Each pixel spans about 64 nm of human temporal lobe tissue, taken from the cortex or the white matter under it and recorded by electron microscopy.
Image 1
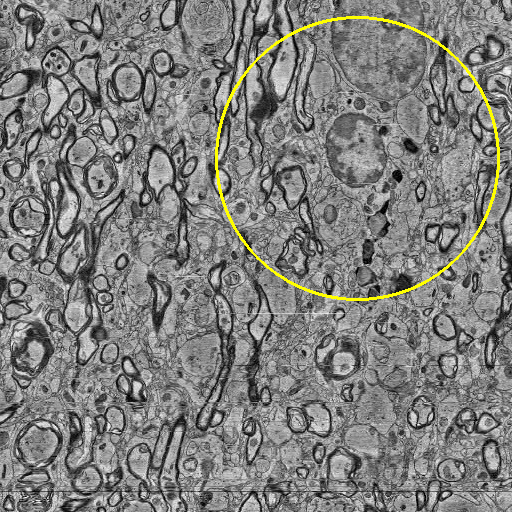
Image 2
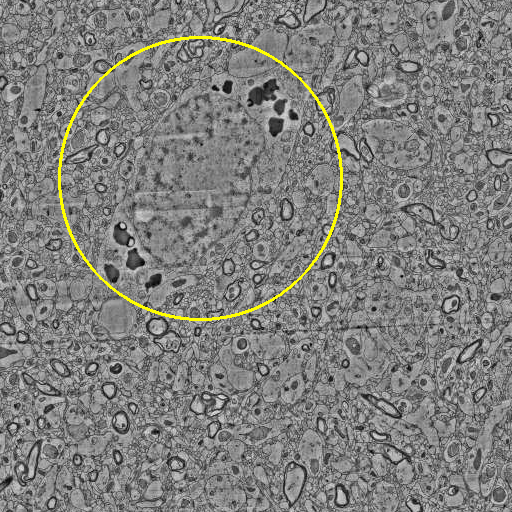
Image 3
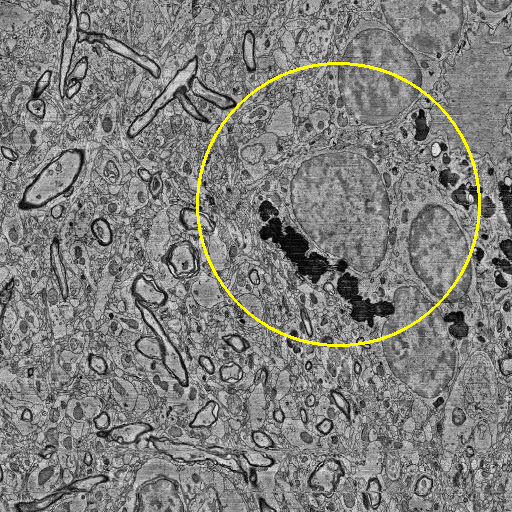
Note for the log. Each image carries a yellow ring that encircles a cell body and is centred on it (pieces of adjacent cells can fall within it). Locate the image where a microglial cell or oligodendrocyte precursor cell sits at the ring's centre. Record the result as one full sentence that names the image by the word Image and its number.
Image 1 has the wanted cell sitting at the centre of its ring.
